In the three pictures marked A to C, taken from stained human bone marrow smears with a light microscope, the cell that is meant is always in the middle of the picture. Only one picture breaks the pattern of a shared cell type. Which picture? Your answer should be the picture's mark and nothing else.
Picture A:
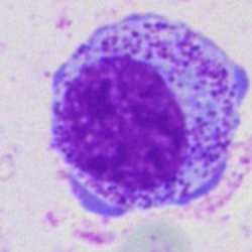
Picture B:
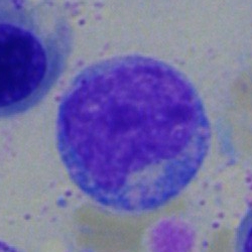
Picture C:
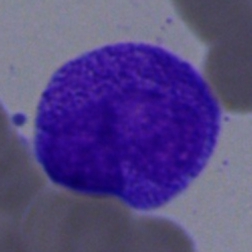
B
